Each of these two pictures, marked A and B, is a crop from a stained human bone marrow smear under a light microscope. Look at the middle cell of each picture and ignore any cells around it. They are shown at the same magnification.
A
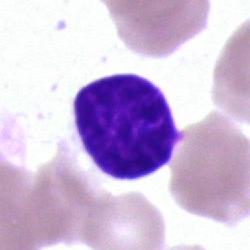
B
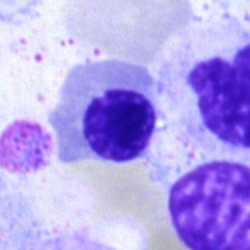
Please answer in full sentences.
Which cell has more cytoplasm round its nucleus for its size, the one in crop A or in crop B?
The nucleus fills less of the cell in crop B than in crop A.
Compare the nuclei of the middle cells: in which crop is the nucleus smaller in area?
The nucleus in crop B is smaller; the one in crop A has about 2 times its area.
